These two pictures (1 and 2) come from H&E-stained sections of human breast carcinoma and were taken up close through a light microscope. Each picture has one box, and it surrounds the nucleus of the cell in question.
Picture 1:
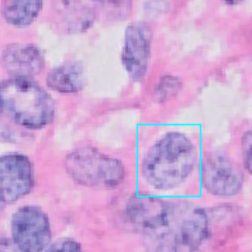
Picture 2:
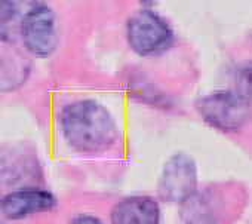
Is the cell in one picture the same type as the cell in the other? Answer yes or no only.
yes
